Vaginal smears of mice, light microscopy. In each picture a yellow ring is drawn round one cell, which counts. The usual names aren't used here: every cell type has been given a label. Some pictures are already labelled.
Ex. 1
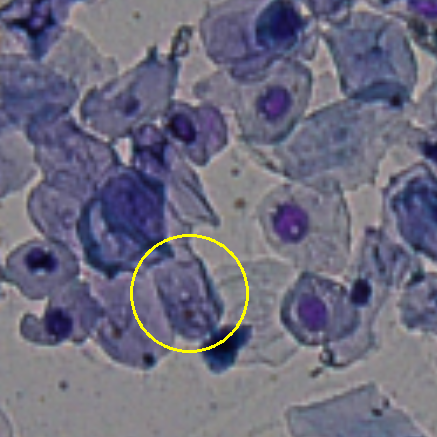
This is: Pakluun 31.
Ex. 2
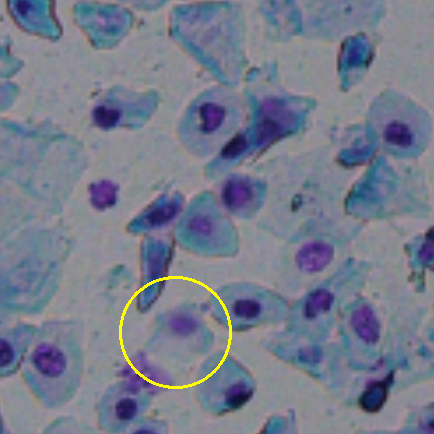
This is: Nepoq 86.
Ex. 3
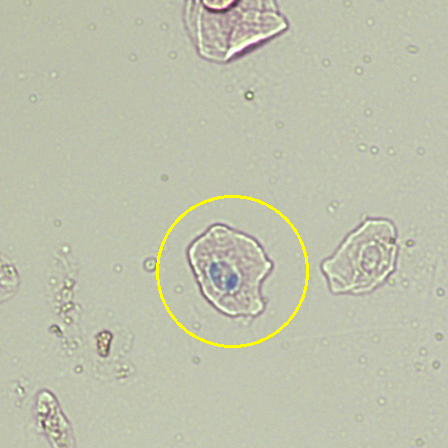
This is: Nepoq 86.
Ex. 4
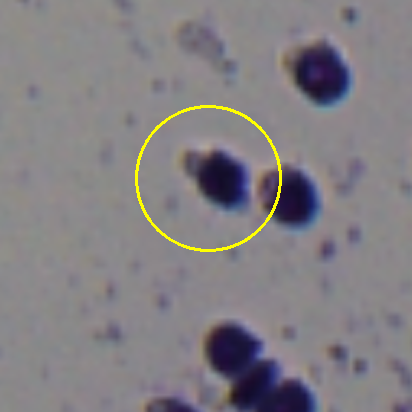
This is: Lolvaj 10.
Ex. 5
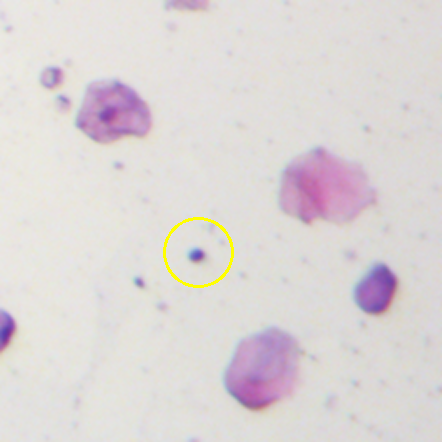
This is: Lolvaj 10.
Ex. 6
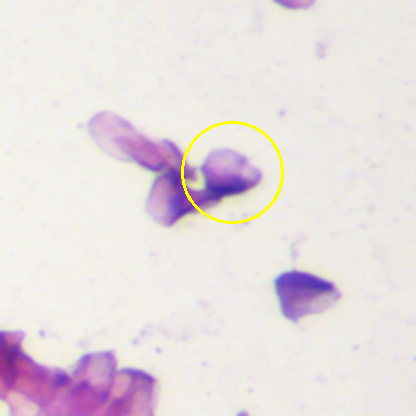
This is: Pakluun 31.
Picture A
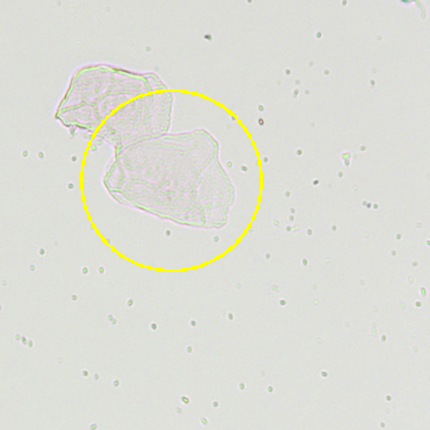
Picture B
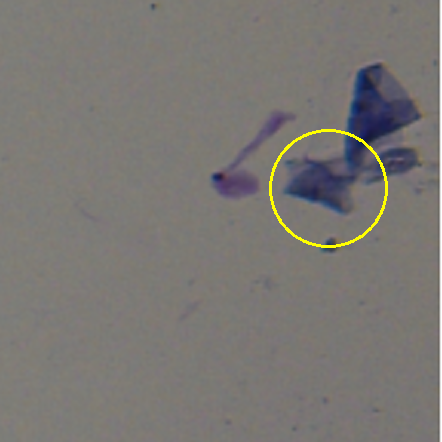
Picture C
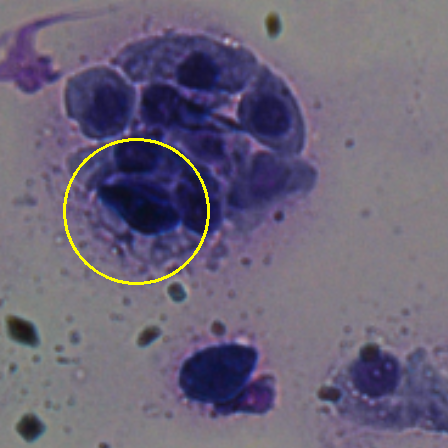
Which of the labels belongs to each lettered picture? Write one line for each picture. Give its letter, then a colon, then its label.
A: Pakluun 31.
B: Pakluun 31.
C: Nepoq 86.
